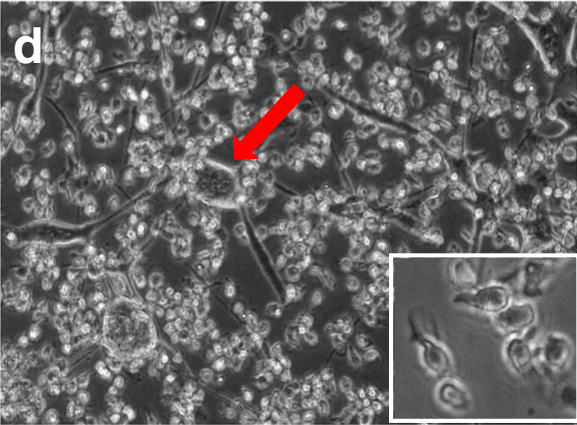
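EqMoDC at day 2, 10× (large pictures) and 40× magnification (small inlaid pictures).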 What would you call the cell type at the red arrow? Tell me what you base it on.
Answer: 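The arrow points at a cell several times the diameter of the surrounding round cells. The large cell's interior is filled with dark granular material. Elongated processes extend from near the large cell.
Giant cells.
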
